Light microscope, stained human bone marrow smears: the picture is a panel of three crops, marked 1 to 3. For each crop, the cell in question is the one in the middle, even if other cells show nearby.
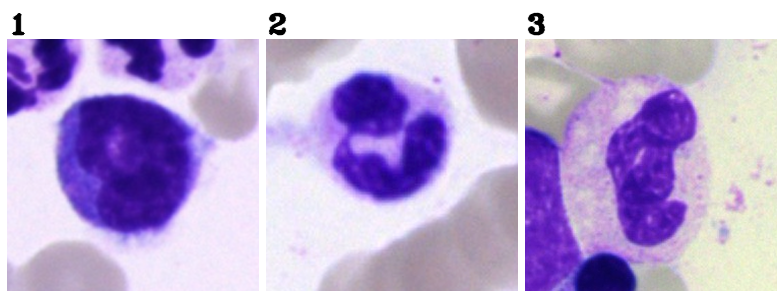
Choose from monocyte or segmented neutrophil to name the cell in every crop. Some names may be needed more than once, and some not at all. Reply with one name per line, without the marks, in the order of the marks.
monocyte
segmented neutrophil
segmented neutrophil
